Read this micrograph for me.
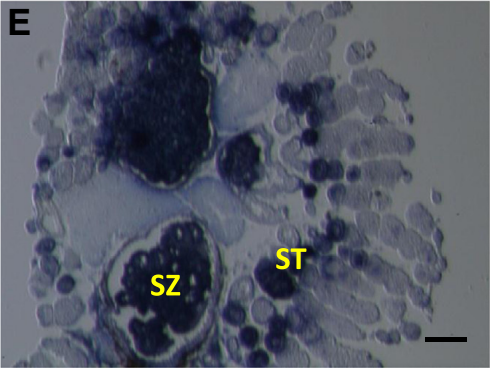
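This testis section shows germ cell cysts arranged from the periphery toward central ducts. The strongest dark blue-purple labelling lies in the large central rounded bundles of sperm, the spermatozeugmata, which sit within the ducts. Smaller cysts of spermatids near these bundles are also darkly stained. Cysts further out toward the periphery are paler, showing only light labelling. The contrast between dark central structures and pale outer cysts is clear at this magnification.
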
